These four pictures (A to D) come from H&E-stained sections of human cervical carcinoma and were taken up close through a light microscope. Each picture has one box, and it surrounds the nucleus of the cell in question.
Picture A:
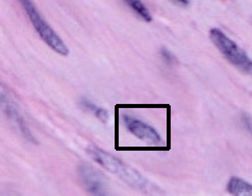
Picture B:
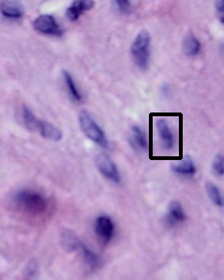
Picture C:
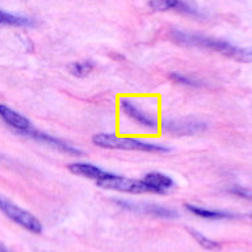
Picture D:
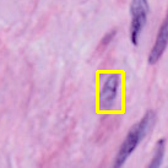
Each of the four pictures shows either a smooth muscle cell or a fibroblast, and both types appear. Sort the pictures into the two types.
A: fibroblast
B: fibroblast
C: smooth muscle cell
D: smooth muscle cell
